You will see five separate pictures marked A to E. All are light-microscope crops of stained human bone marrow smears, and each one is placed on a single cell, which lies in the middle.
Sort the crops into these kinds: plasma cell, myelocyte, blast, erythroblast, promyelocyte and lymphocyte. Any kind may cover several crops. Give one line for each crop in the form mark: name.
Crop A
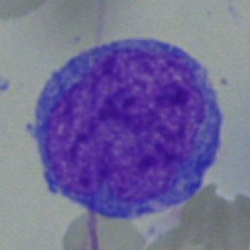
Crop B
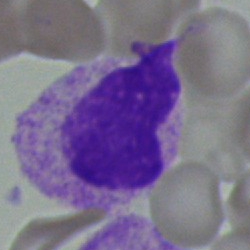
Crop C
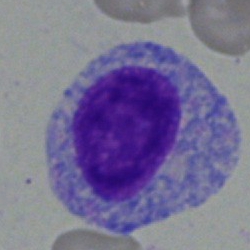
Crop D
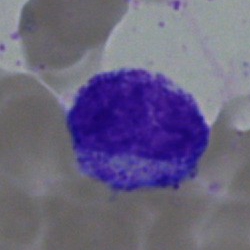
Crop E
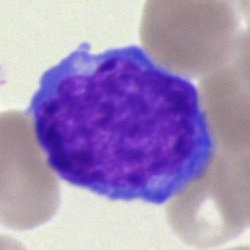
A: blast
B: myelocyte
C: myelocyte
D: myelocyte
E: blast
